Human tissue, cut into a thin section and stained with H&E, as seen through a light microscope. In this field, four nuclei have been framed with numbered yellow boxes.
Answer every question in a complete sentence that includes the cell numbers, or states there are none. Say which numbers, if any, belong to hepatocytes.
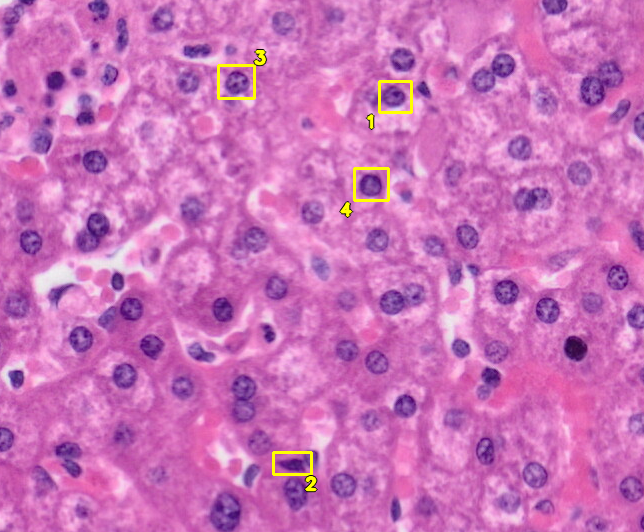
Marked by the numbers 1, 3 and 4 are cells that are hepatocytes.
